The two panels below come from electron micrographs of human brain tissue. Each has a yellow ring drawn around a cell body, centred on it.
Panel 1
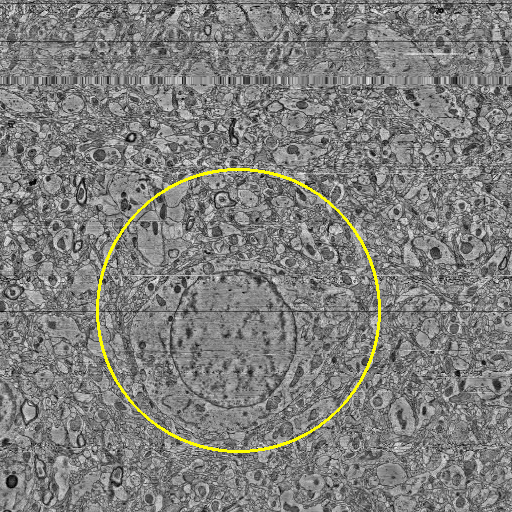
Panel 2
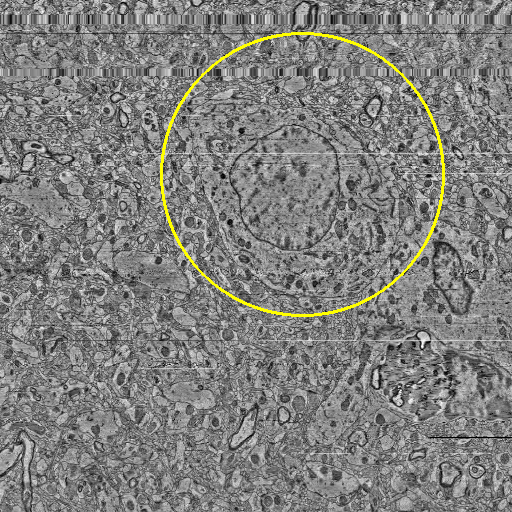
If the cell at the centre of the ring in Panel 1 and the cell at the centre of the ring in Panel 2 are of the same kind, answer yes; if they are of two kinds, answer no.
yes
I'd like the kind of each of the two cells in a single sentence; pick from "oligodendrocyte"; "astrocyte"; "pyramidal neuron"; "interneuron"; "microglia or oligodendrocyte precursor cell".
Each of the ringed cells, first and second, is a pyramidal neuron.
